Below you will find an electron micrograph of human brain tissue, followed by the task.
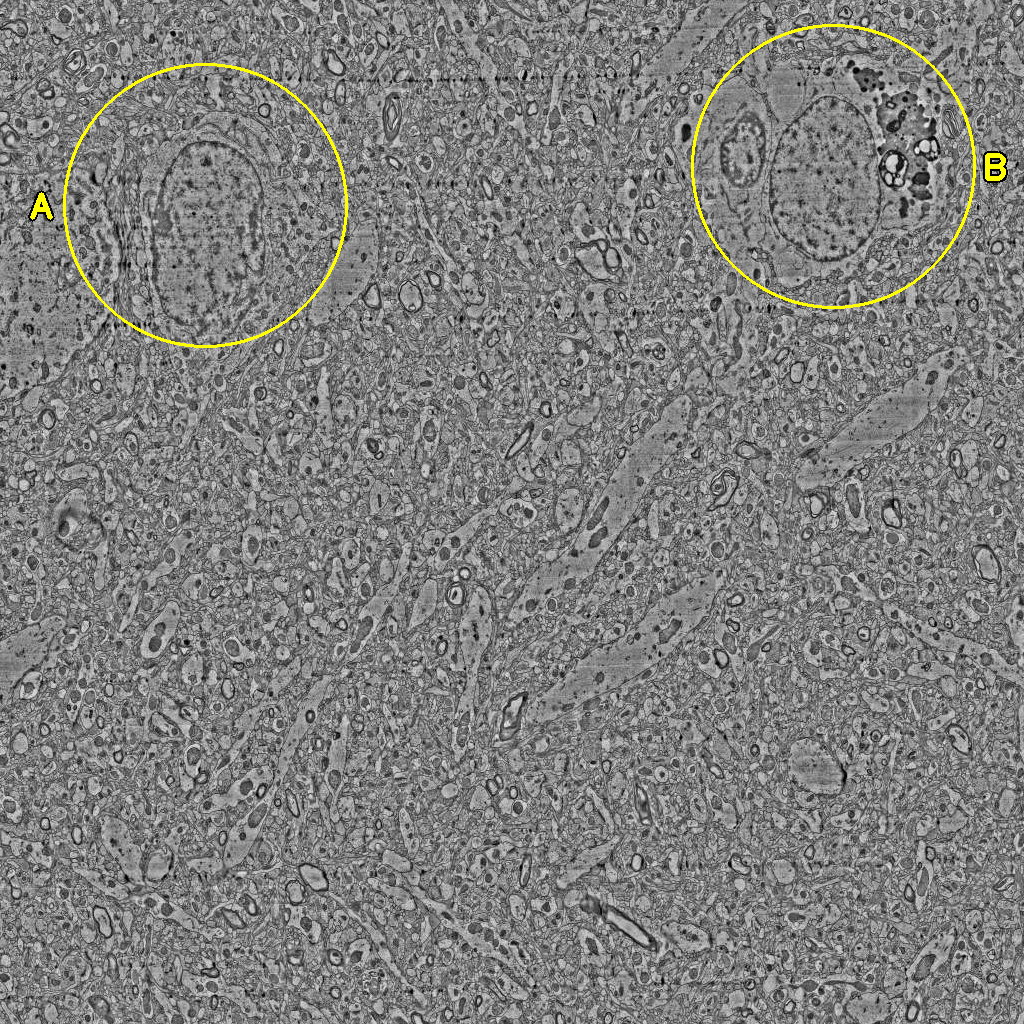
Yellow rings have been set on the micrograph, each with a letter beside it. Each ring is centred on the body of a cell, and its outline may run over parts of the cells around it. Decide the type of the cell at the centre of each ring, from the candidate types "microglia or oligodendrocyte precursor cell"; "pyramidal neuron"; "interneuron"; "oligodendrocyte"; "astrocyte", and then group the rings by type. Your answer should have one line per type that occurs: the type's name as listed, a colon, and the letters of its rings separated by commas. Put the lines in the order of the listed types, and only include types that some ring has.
interneuron: A
astrocyte: B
